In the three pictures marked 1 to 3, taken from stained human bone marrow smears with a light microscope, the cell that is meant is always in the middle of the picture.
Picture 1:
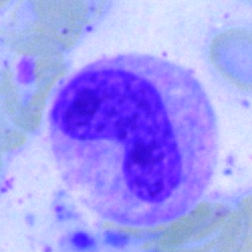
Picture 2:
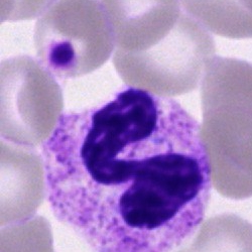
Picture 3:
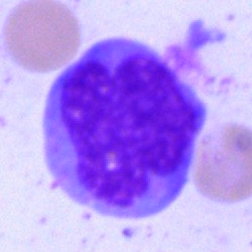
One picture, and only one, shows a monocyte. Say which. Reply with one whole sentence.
The cell in picture 3 is the monocyte.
